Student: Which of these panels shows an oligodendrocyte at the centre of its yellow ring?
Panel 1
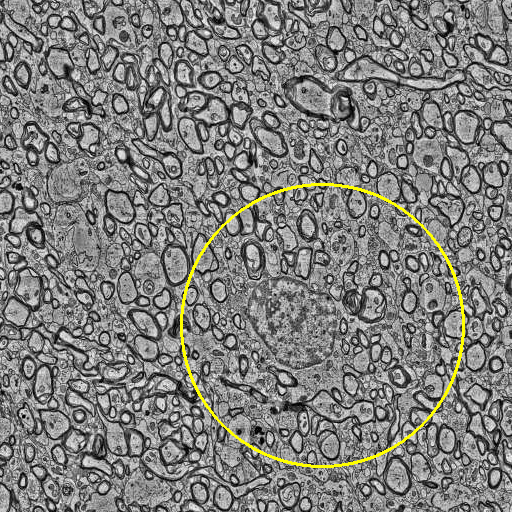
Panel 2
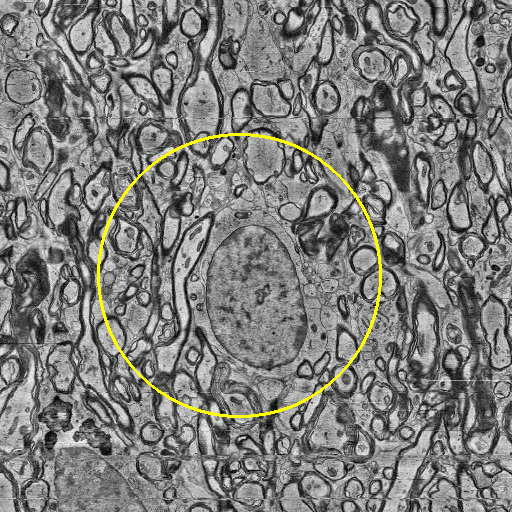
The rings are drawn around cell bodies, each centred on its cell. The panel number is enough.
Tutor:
1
